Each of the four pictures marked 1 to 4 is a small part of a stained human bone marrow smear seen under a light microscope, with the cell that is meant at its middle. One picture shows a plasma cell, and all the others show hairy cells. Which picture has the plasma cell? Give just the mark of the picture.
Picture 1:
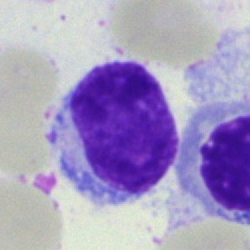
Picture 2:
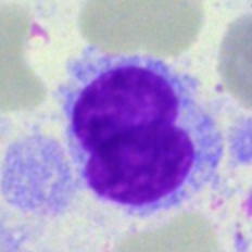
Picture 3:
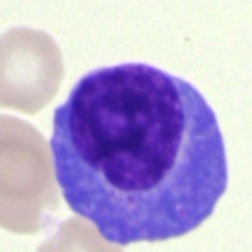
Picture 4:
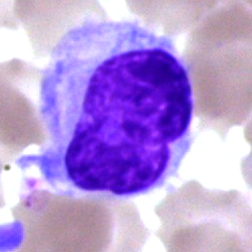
3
